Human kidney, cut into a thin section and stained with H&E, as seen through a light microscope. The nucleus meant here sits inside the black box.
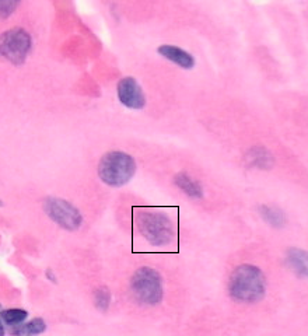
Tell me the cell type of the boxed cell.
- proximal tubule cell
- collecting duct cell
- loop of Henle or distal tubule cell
proximal tubule cell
